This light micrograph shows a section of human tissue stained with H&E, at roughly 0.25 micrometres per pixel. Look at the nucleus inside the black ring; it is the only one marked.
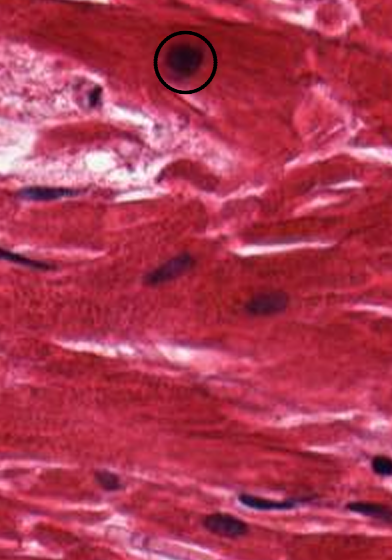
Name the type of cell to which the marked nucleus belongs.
cardiomyocyte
